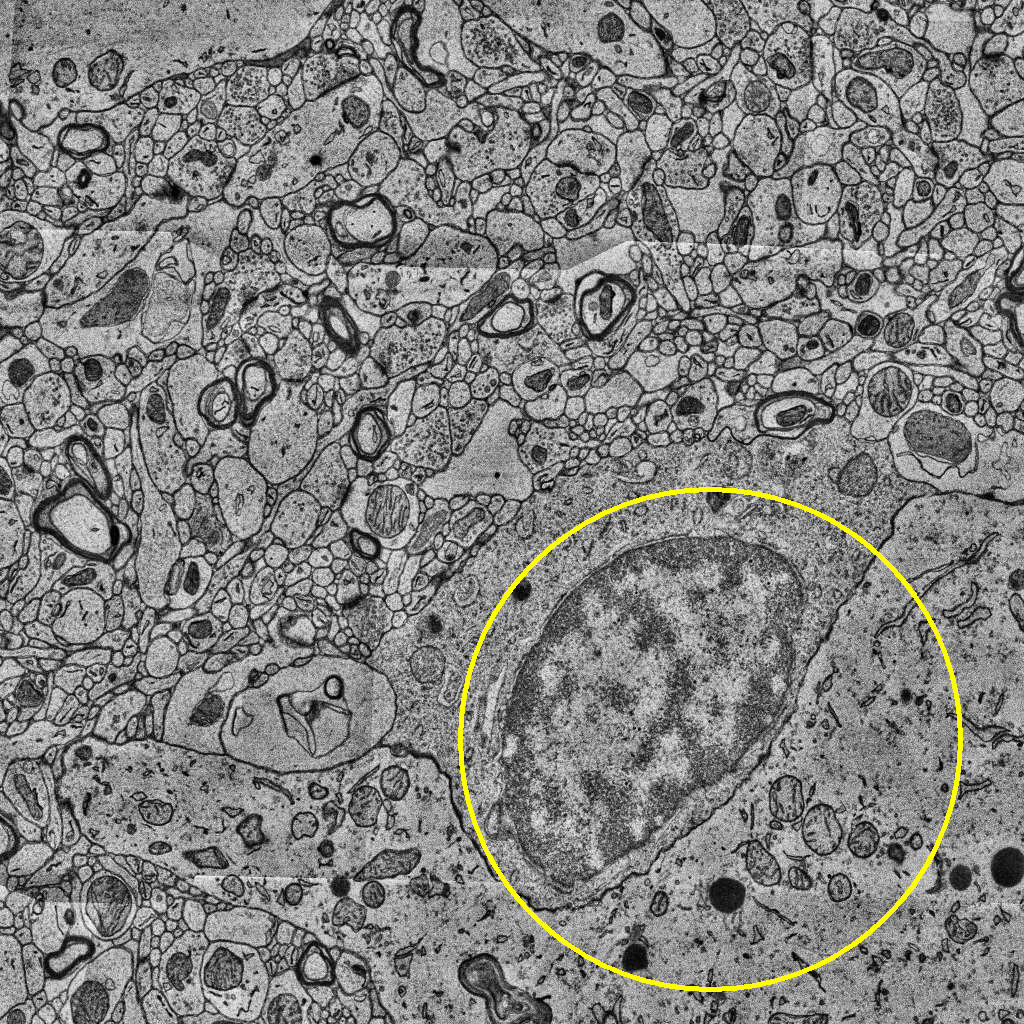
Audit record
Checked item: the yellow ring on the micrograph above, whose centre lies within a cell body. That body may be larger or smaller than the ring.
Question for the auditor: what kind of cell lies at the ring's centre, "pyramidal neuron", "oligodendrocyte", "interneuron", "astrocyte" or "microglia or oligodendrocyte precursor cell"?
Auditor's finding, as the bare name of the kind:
oligodendrocyte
